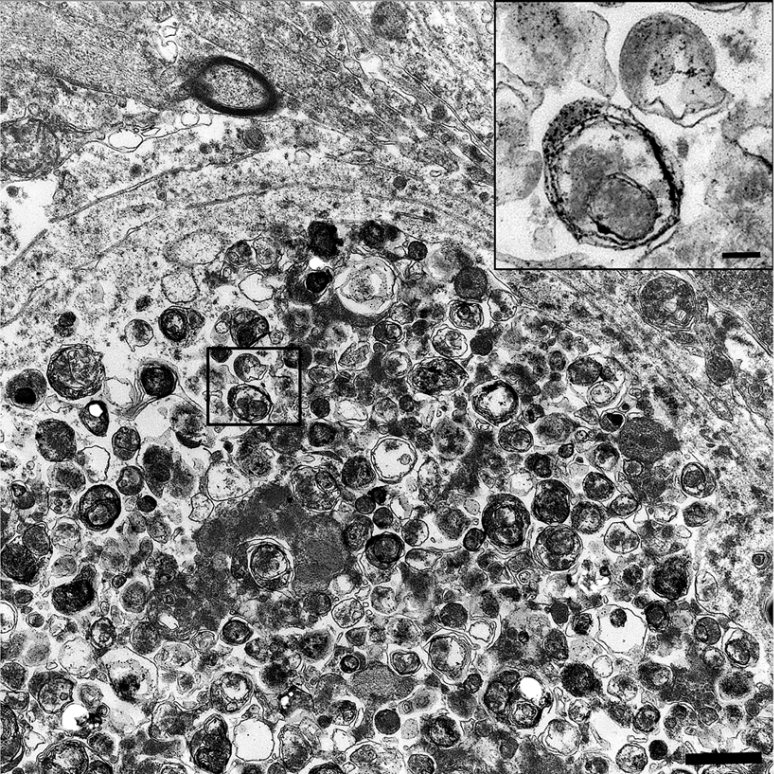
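The swelling is crowded with many round membrane-bound vacuolar structures of varying size and electron density, some dark, some pale with membranous contents. No thick dark myelin ring surrounds the vacuole-filled region. The inset shows one of these vacuoles enlarged: it is rimmed by a double membrane separated by a pale cleft, typical of an autophagosome. Above the spheroid, the surrounding neuropil with a small myelinated profile is seen for comparison.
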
